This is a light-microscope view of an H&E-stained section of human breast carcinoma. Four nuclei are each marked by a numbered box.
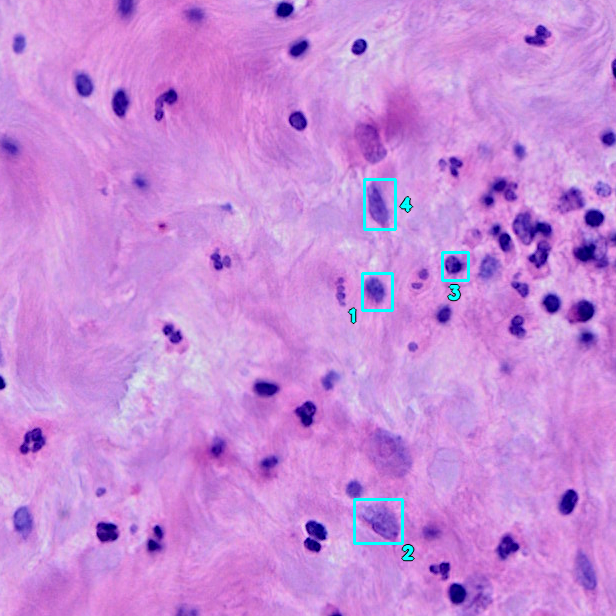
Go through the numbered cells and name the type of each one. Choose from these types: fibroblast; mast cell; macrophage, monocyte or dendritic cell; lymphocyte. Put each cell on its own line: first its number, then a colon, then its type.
1: mast cell
2: fibroblast
3: lymphocyte
4: fibroblast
